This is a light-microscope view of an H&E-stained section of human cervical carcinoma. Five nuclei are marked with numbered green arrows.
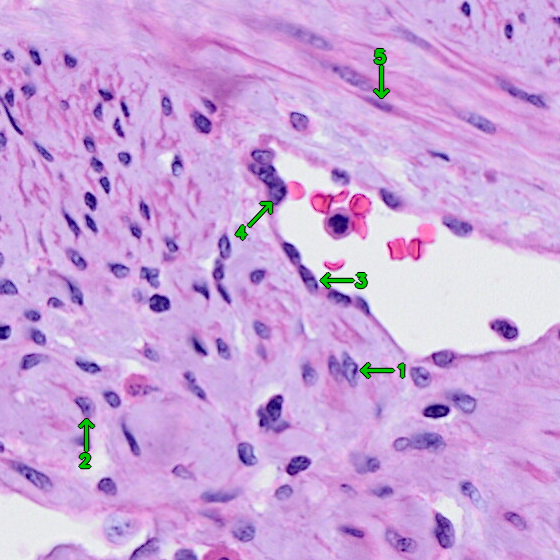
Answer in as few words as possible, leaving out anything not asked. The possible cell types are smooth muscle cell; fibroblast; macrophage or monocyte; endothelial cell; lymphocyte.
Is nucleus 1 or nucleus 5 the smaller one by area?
5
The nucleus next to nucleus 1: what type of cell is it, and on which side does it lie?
a smooth muscle cell; to the left of nucleus 1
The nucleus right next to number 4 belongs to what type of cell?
endothelial cell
